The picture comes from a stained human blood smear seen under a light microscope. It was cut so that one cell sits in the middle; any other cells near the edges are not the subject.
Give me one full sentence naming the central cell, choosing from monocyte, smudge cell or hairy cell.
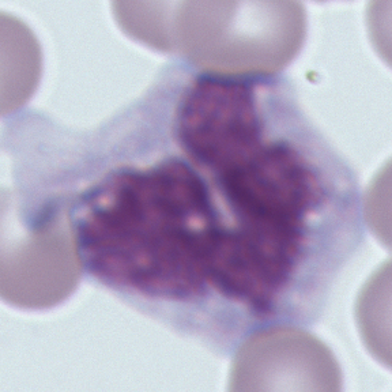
On this slide crop, the central cell is a monocyte.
